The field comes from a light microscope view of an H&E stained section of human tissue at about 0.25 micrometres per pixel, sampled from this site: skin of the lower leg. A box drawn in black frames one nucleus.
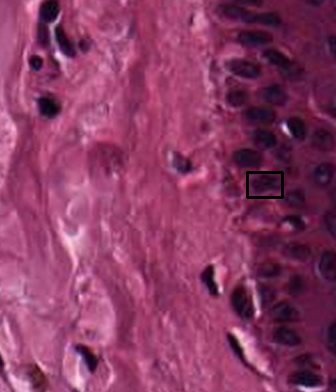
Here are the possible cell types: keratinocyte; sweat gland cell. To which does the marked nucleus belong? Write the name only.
keratinocyte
